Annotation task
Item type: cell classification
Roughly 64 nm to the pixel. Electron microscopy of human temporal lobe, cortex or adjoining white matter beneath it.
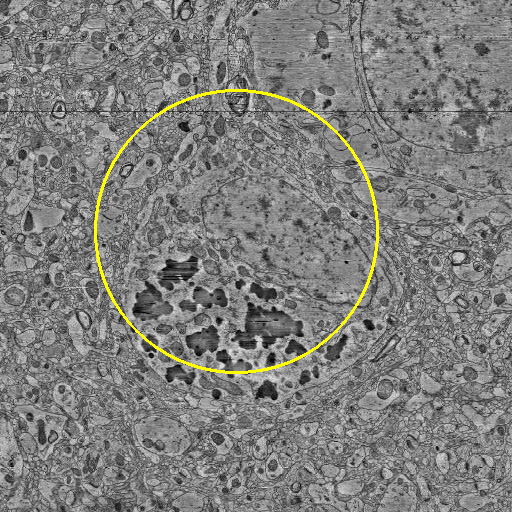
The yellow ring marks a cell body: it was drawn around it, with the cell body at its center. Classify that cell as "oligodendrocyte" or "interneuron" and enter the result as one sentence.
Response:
The ring's center falls on an interneuron.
